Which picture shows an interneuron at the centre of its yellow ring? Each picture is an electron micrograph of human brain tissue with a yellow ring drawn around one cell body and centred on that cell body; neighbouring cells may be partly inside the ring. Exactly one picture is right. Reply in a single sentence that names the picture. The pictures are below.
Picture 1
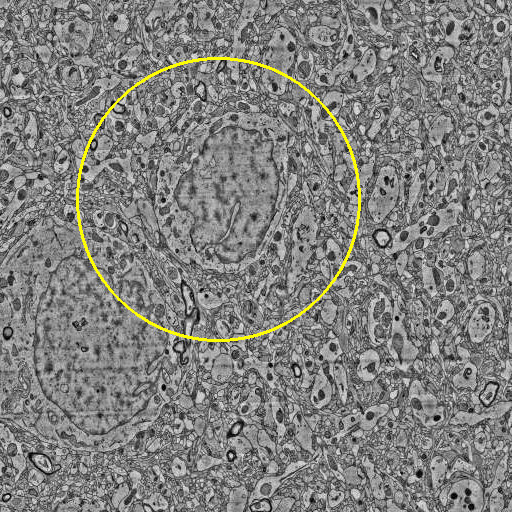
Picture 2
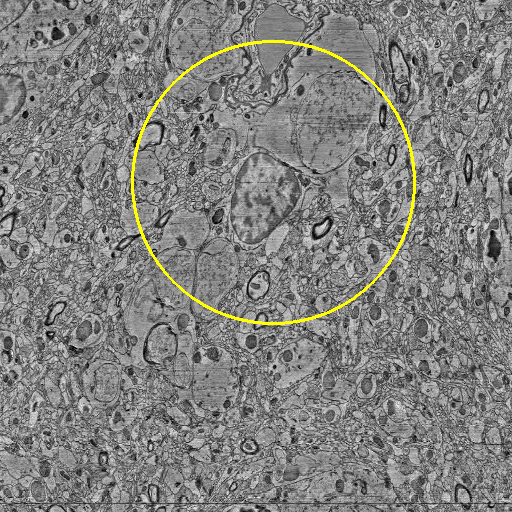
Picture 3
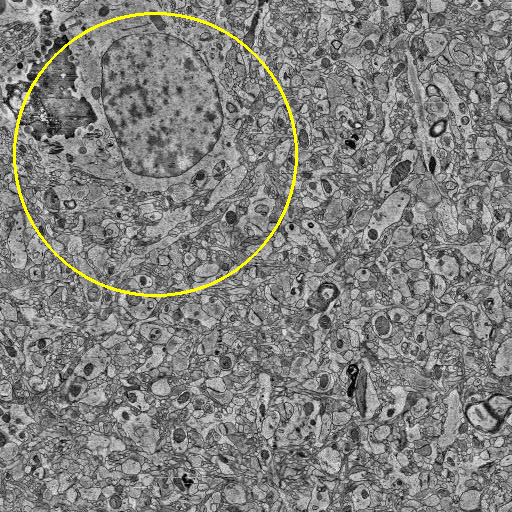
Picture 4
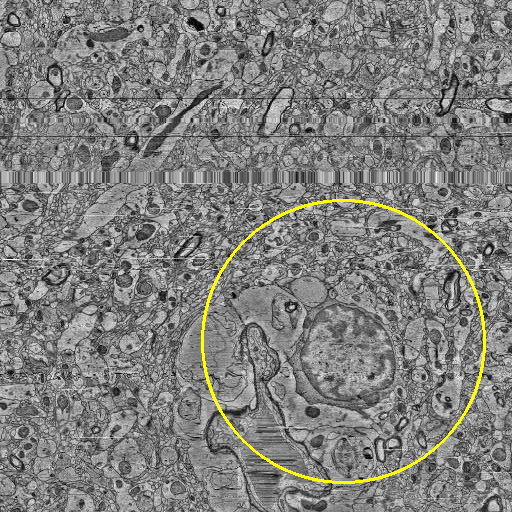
Picture 1 shows it.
